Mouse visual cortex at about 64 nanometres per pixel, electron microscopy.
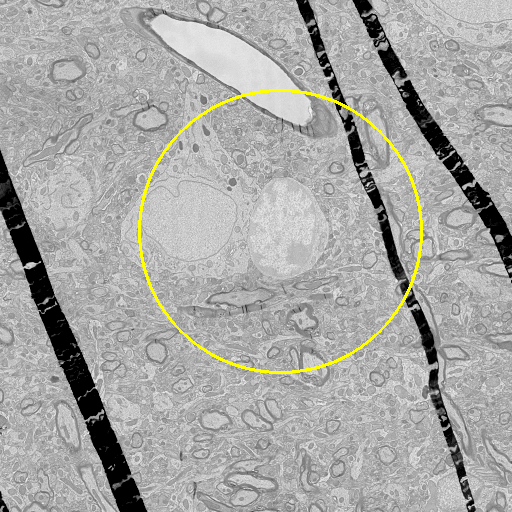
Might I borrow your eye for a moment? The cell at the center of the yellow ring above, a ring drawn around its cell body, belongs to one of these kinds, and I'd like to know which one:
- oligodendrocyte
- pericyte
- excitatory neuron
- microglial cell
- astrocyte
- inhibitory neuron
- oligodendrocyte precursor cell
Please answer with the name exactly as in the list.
oligodendrocyte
